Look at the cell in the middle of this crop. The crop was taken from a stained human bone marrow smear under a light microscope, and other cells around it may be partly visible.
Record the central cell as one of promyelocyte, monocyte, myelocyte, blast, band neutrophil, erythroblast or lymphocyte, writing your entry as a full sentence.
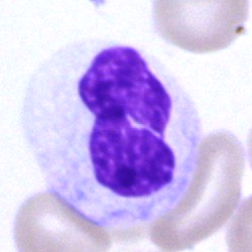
The centered cell in this crop is a band neutrophil.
